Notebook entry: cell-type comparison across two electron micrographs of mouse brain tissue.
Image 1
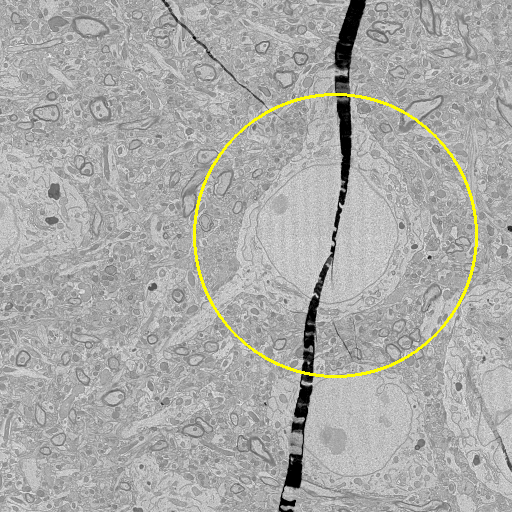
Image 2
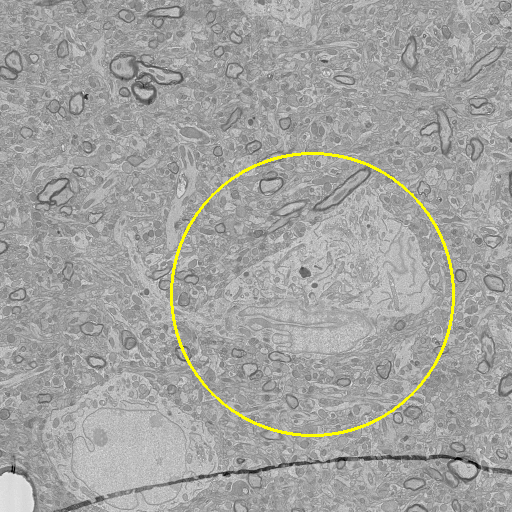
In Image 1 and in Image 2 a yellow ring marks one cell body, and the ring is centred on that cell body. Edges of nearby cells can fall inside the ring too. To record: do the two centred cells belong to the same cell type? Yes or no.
no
